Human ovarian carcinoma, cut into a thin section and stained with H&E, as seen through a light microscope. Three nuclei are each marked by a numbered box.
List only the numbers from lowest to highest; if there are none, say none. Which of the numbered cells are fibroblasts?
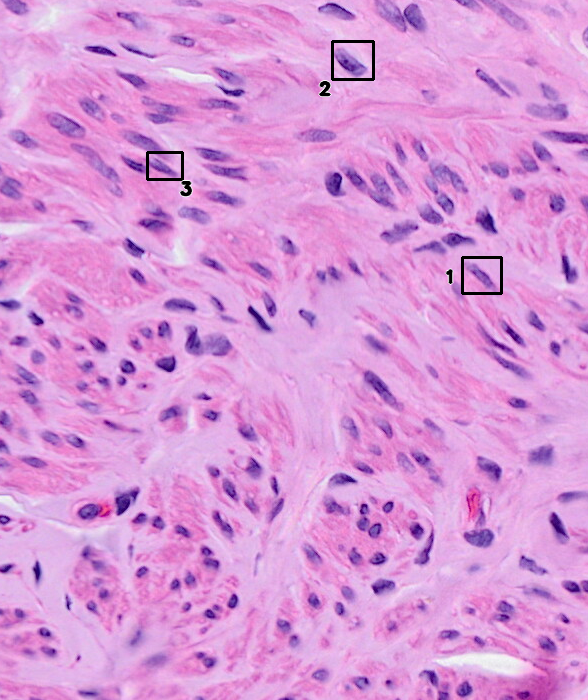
2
